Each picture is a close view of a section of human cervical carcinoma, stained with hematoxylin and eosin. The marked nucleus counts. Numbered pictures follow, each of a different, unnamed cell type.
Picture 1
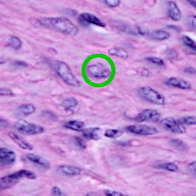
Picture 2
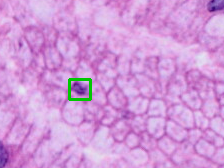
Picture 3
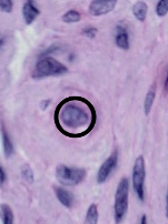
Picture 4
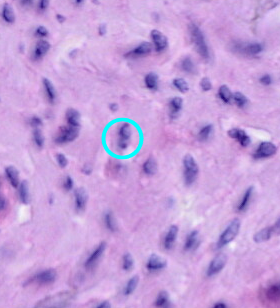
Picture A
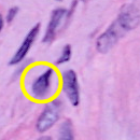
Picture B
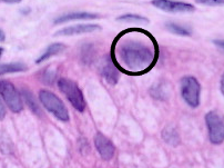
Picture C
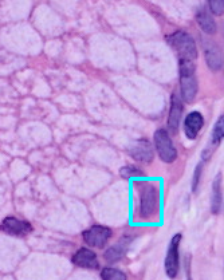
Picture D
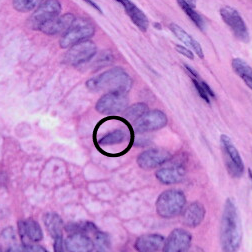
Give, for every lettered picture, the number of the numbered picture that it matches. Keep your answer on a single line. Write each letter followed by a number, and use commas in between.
A 4, B 2, C 2, D 2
